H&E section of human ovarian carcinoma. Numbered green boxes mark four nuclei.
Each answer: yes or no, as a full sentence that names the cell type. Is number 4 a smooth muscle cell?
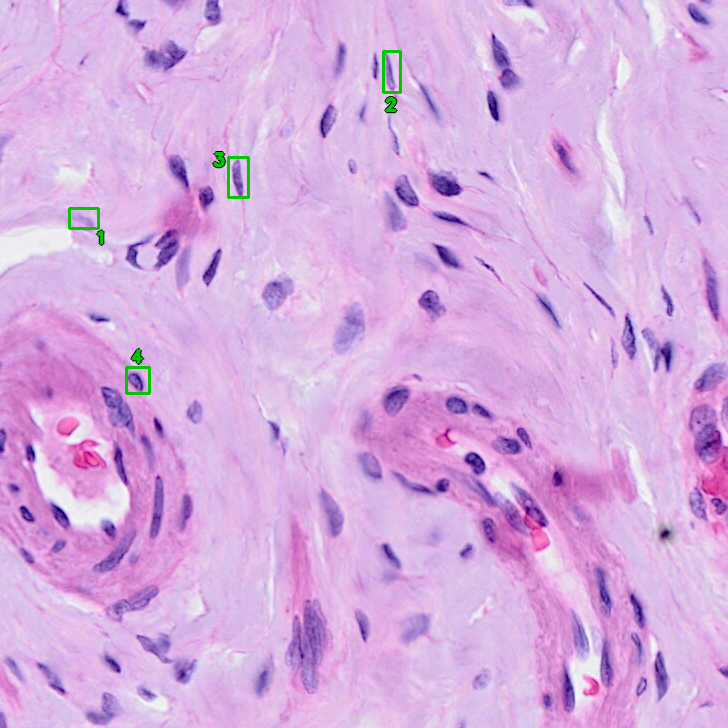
Yes, correct, the cell with the number 4 is a smooth muscle cell.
